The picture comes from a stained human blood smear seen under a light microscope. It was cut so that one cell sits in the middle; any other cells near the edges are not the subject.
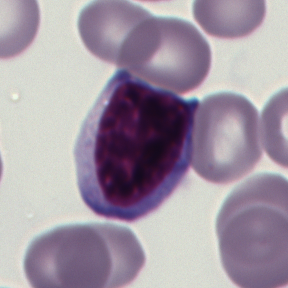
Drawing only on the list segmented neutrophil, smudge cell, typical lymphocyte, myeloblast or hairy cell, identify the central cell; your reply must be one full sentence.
Looking at the middle of the crop, the cell there is a typical lymphocyte.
